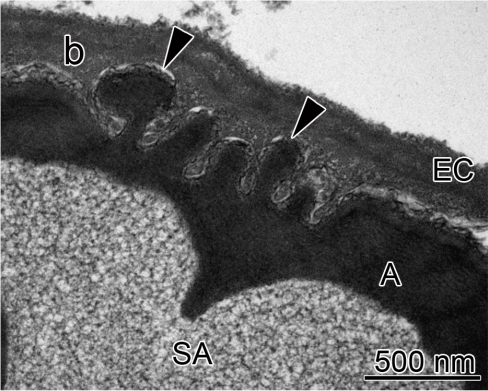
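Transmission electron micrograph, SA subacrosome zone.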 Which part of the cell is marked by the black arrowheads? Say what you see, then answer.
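Protrusions of the acrosome crest. Finger-like dense projections extend from the top of the dense body. The projections extend into the outer grey layer.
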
